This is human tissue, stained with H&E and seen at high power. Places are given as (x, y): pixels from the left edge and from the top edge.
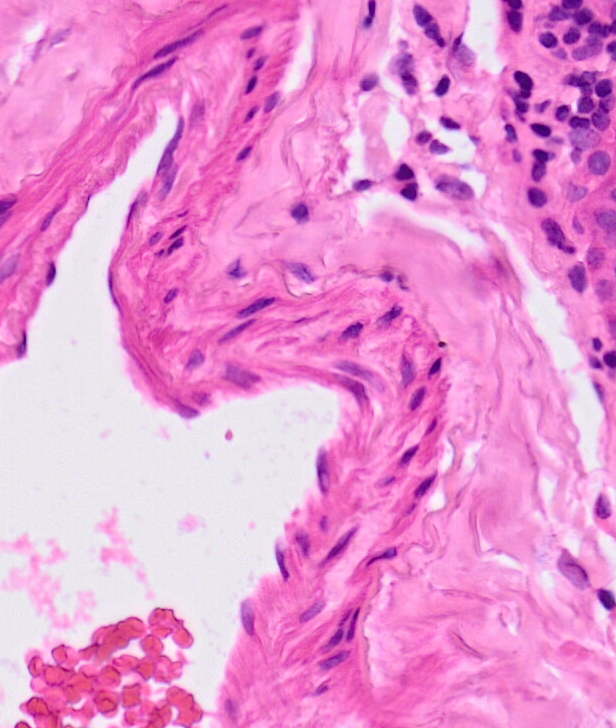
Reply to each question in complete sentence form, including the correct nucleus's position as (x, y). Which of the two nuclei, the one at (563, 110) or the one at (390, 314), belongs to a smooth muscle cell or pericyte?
At (390, 314) lies the nucleus that belongs to a smooth muscle cell or pericyte.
